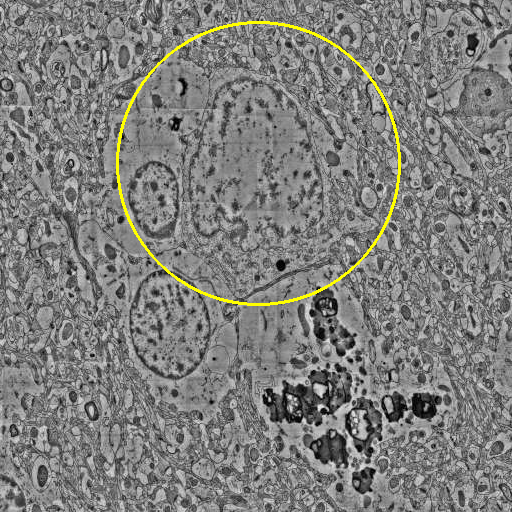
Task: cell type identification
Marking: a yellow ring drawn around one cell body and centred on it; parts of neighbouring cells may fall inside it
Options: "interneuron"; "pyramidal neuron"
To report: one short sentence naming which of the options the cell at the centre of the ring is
The cell at the centre of the ring is an interneuron.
